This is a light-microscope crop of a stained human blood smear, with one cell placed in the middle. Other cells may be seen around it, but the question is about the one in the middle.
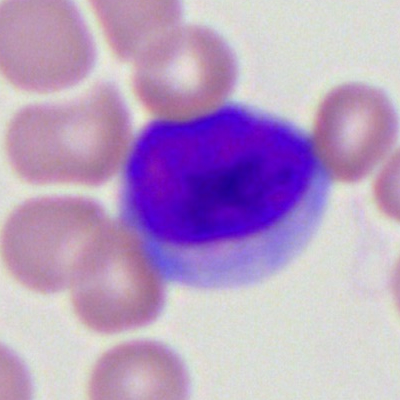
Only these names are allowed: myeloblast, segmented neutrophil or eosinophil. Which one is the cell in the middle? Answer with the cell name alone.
myeloblast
